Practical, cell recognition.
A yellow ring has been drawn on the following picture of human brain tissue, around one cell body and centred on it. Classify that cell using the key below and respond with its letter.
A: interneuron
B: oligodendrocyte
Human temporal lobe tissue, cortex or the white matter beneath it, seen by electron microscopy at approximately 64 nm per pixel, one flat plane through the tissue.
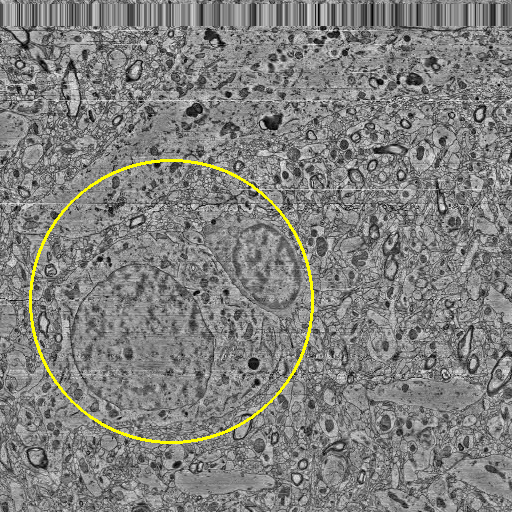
A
